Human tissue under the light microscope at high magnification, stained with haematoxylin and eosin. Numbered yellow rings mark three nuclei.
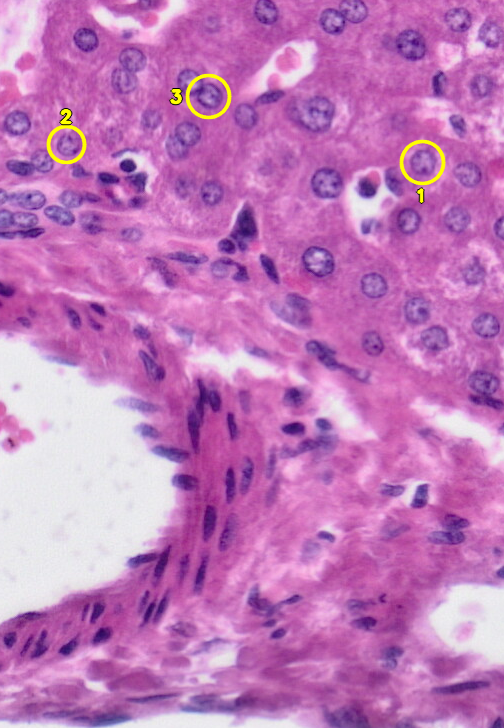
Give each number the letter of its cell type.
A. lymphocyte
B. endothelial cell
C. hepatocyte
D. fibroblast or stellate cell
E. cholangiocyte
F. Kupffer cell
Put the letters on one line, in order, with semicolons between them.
C; E; C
